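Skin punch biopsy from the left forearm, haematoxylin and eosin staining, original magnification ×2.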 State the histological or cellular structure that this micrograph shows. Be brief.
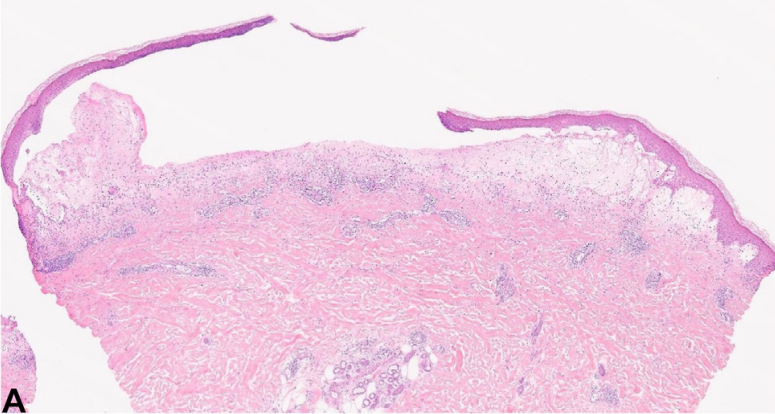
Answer: Subepidermal bulla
